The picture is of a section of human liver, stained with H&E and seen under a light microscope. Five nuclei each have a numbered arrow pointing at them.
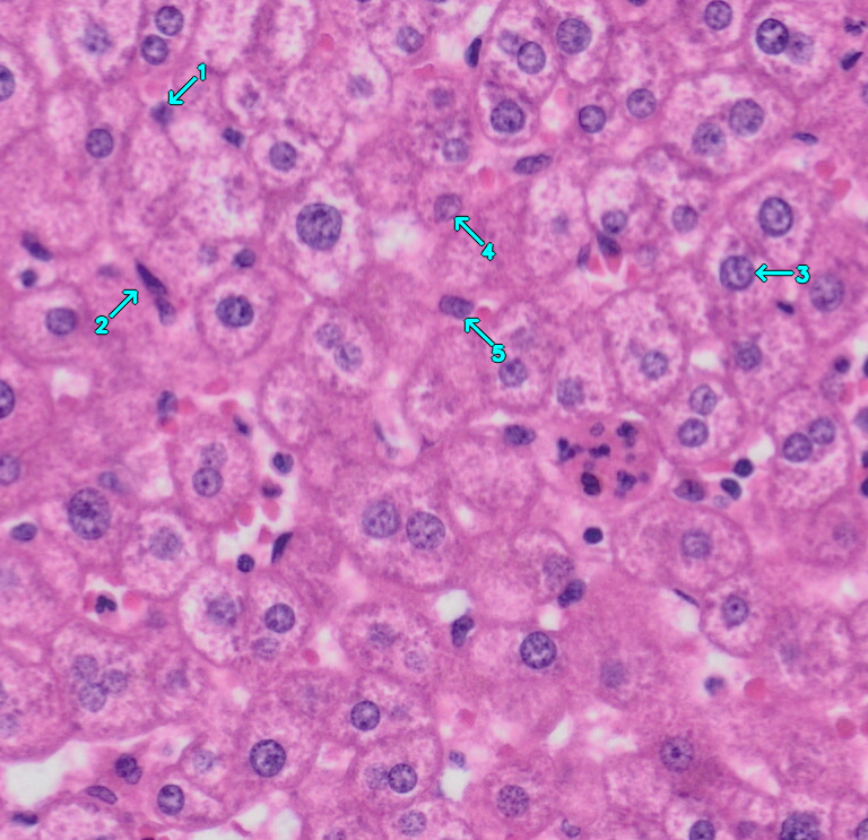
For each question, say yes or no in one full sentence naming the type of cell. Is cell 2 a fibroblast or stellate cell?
Yes, the cell that the number 2 labels is a fibroblast or stellate cell.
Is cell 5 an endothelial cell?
No, the cell denoted 5 is a Kupffer cell rather than an endothelial cell.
